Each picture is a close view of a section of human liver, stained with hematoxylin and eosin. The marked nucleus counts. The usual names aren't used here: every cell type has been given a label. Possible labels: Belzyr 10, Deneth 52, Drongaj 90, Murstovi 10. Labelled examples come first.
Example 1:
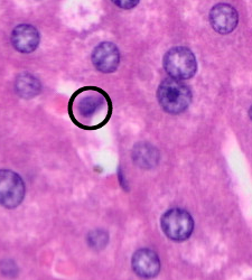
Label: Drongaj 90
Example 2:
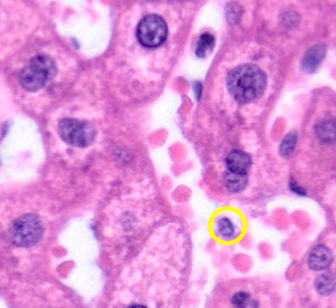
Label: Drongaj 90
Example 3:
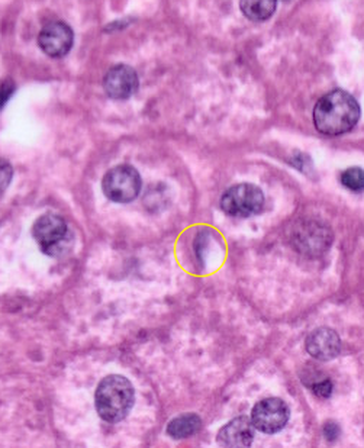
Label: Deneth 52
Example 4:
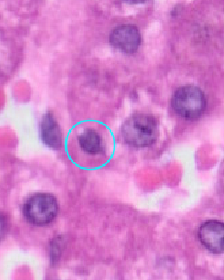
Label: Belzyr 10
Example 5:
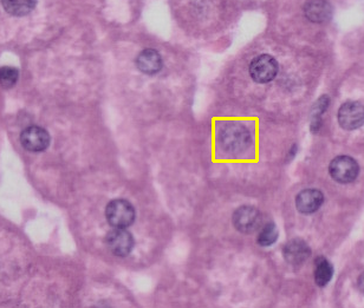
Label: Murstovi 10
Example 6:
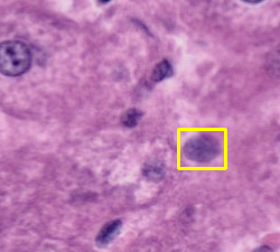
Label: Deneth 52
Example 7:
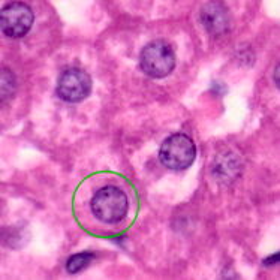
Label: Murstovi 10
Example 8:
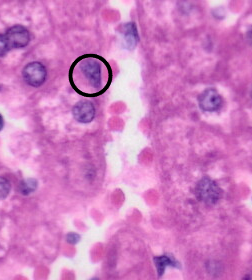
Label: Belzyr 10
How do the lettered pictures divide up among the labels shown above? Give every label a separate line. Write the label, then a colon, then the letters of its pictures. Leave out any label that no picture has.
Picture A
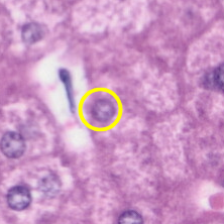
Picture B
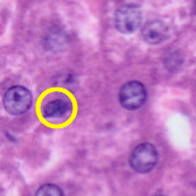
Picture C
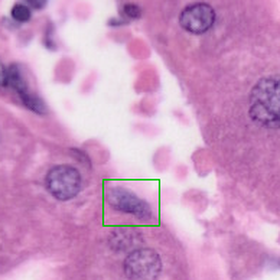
Belzyr 10: B, C
Murstovi 10: A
